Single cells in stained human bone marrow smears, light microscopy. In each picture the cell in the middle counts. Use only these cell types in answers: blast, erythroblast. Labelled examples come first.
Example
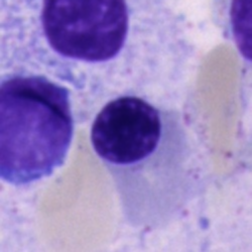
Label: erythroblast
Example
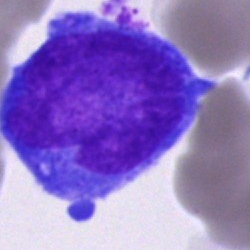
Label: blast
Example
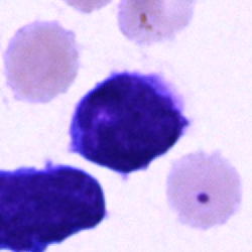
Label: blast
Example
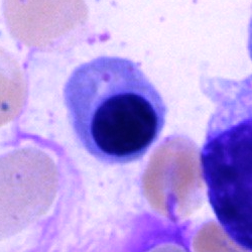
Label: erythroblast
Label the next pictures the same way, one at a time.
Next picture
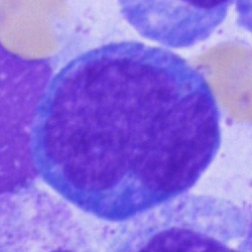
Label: blast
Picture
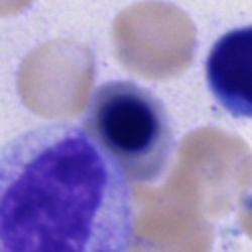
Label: erythroblast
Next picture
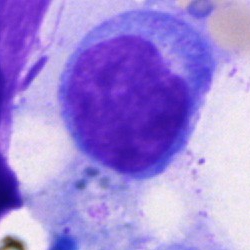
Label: blast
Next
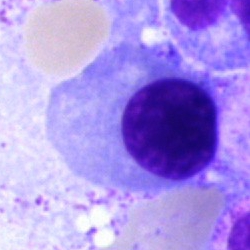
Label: erythroblast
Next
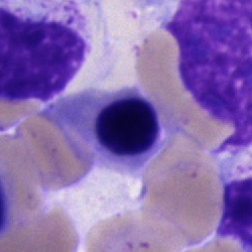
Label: erythroblast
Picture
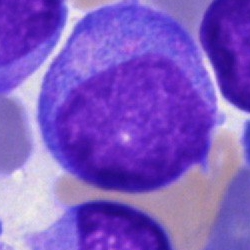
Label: blast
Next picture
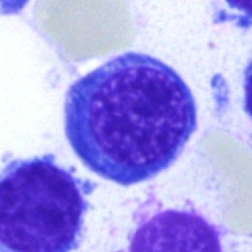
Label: erythroblast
